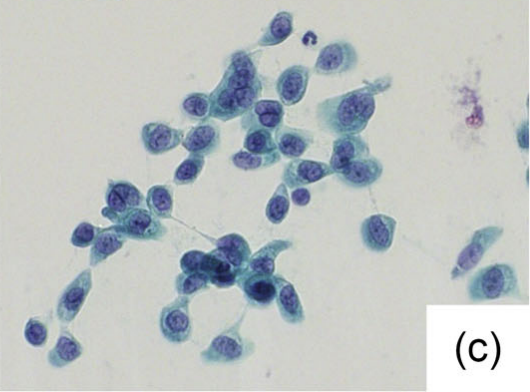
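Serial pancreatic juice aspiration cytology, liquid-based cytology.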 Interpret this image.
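Scattered tumor cells lie singly and in small loose groups on a clean background, with almost no inflammatory cells or debris. The cells are round to polygonal, some with tail-like cytoplasmic extensions, and have pale blue-green cytoplasm. Their nuclei are round to oval, often eccentric, with fine chromatin and visible nucleoli.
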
